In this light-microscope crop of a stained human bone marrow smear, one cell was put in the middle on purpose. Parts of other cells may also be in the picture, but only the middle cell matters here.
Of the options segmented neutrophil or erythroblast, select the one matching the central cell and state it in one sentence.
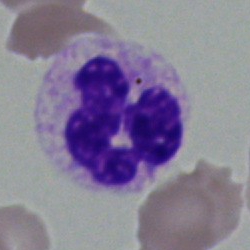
The cell around which this crop is centred is a segmented neutrophil.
